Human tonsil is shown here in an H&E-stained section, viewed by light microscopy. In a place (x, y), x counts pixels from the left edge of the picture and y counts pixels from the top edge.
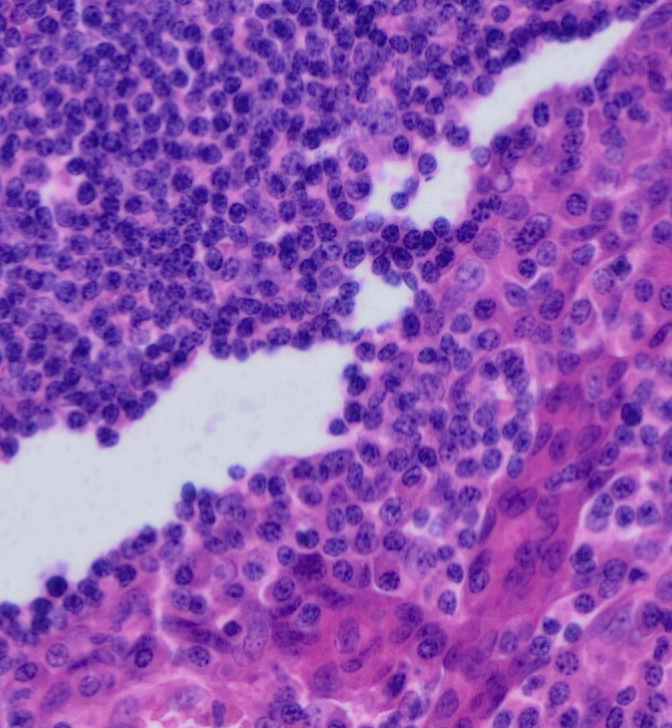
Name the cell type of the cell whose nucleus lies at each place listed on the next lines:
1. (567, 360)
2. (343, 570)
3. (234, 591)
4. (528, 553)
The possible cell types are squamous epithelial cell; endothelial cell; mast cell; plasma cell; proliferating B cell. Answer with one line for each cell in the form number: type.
1: squamous epithelial cell
2: plasma cell
3: plasma cell
4: squamous epithelial cell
